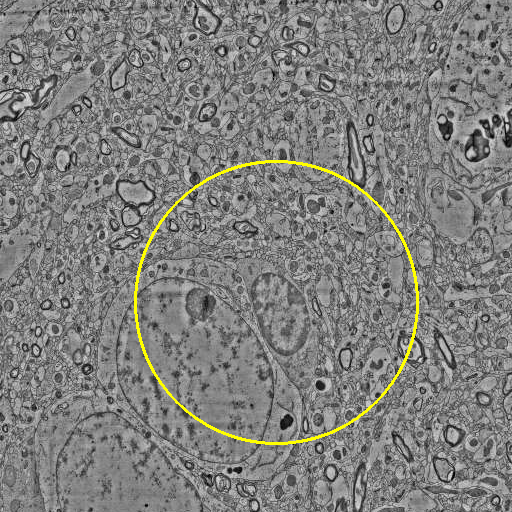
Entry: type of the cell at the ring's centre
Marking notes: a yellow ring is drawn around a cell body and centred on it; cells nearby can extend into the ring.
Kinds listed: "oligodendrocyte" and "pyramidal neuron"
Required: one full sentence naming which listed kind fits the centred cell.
My entry names an oligodendrocyte as the cell whose body the yellow ring centres on.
